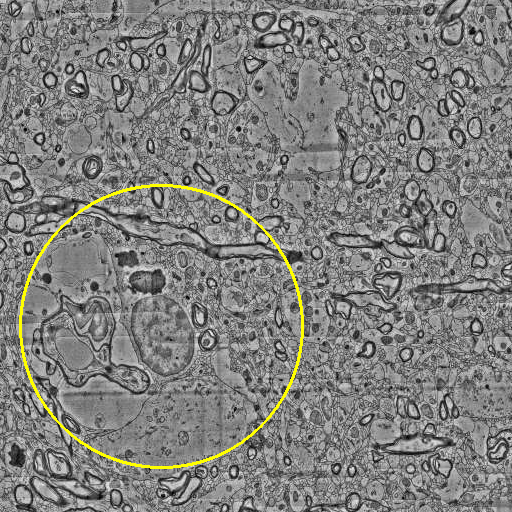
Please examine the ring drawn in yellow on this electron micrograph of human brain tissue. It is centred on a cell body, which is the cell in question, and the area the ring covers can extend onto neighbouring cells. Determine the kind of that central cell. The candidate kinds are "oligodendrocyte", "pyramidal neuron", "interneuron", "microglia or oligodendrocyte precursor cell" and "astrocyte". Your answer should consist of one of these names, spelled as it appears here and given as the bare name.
oligodendrocyte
